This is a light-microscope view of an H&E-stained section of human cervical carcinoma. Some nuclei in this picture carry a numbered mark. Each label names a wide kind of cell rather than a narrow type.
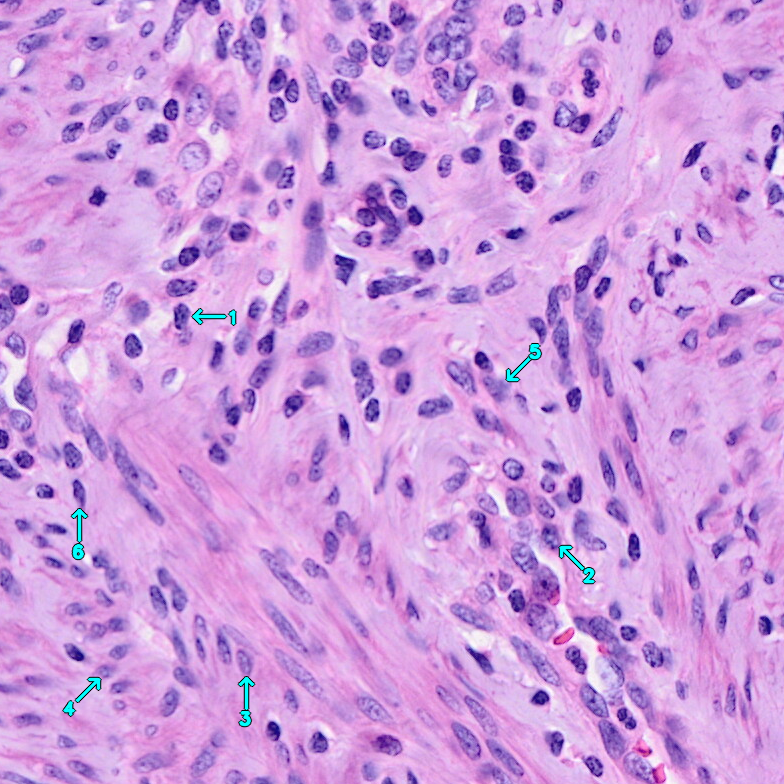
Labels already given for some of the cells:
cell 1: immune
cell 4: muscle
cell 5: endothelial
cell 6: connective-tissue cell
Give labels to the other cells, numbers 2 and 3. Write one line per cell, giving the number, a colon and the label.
2: endothelial
3: muscle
